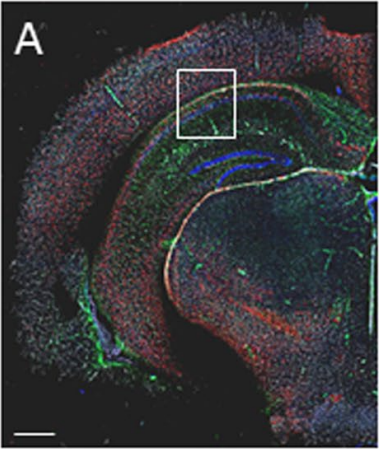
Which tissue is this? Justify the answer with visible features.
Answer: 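A half-brain section with an outer curved cortical mantle. Curved hippocampal layers with blue bands lie inside the cortex.
Cerebral hemisphere.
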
